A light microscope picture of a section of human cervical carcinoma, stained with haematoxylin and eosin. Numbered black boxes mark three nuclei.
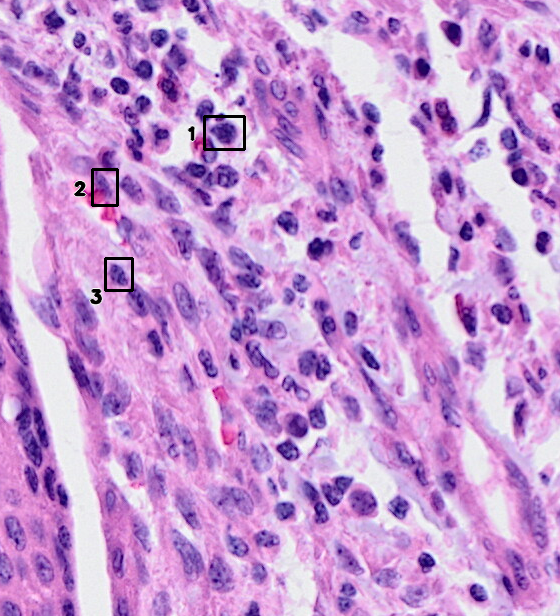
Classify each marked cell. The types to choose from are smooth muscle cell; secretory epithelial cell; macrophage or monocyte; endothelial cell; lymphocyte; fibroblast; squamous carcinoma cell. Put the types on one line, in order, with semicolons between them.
lymphocyte; endothelial cell; lymphocyte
